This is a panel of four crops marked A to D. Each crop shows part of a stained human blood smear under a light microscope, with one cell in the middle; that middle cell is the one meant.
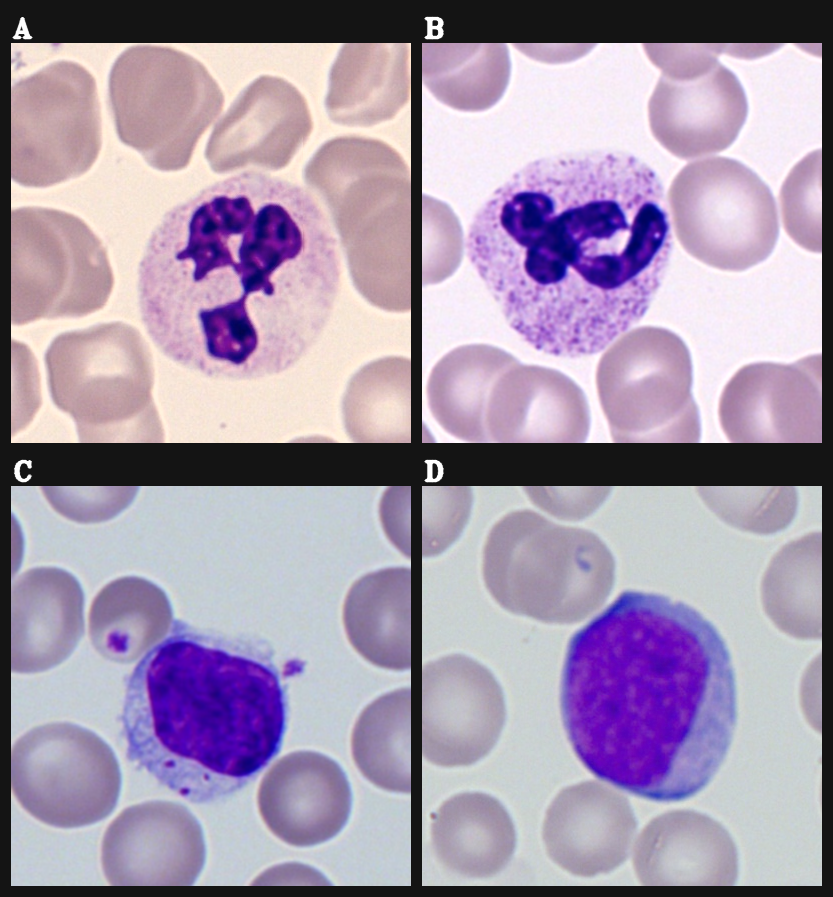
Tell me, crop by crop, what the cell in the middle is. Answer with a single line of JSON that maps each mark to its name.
{"A": "neutrophil", "B": "neutrophil", "C": "lymphocyte", "D": "blast"}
